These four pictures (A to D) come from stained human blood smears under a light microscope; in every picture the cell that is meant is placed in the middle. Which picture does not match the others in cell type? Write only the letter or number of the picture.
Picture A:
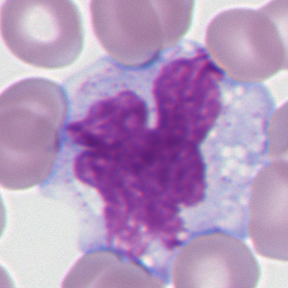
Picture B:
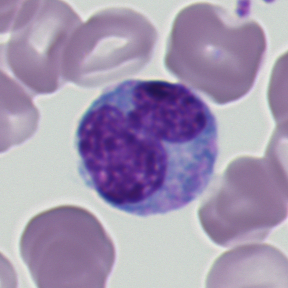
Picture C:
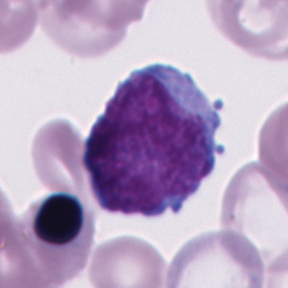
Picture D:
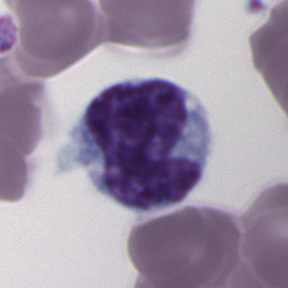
C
